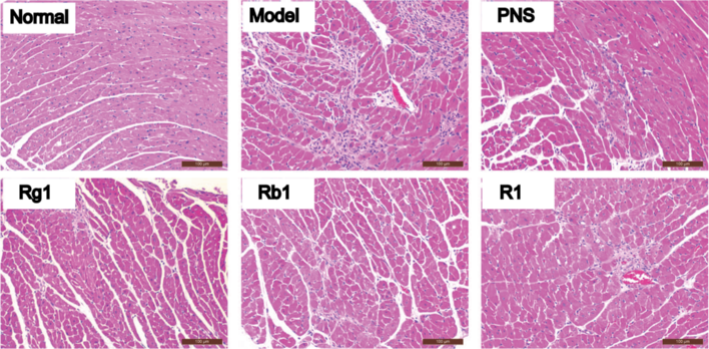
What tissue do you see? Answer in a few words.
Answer: Hearts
